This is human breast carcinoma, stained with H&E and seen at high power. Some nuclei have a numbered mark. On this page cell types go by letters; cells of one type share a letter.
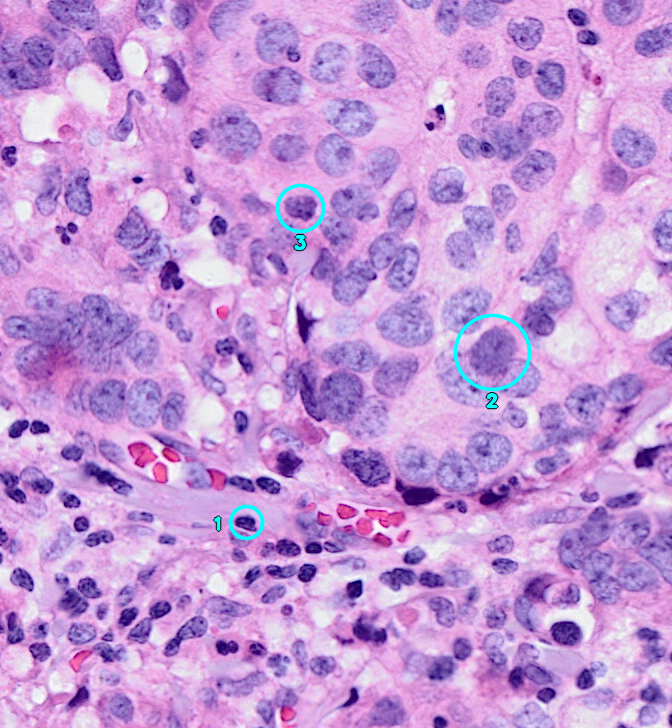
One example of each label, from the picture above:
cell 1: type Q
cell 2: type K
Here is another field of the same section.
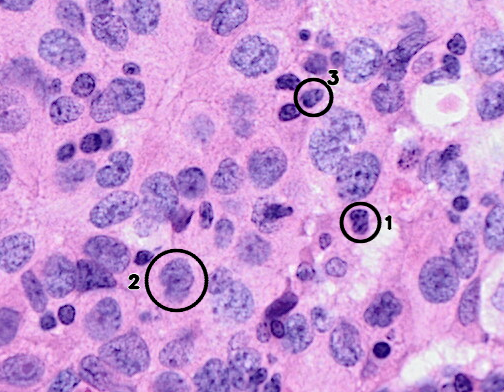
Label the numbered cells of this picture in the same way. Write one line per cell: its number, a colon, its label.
1: type Q
2: type K
3: type Q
